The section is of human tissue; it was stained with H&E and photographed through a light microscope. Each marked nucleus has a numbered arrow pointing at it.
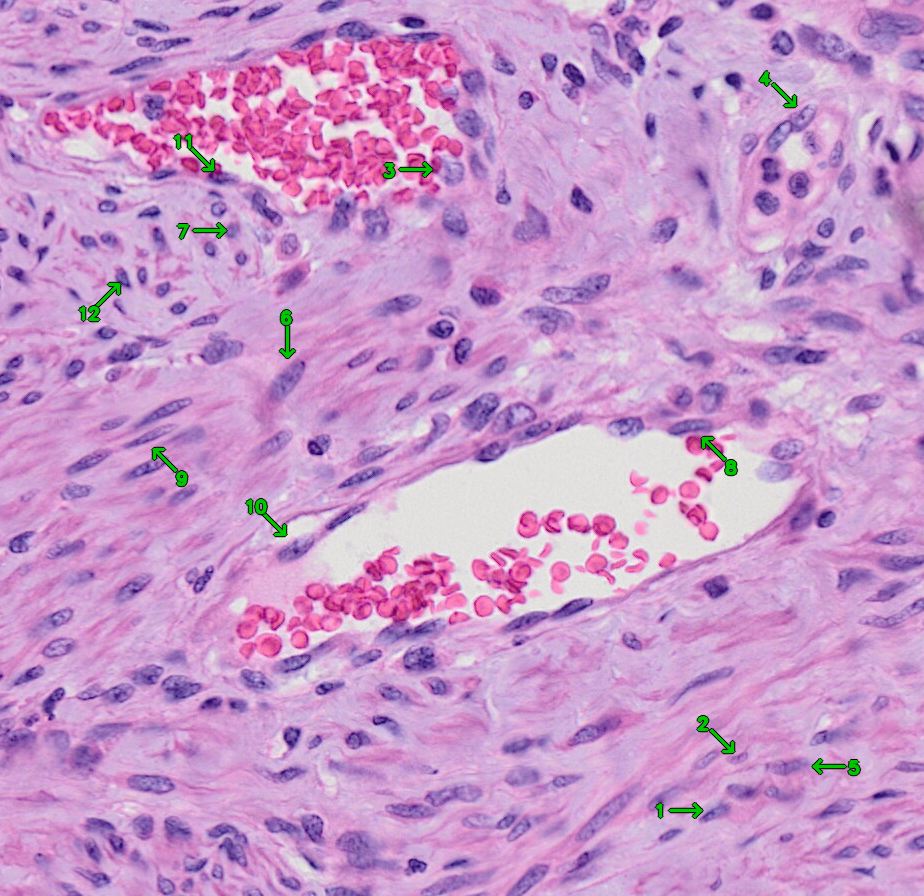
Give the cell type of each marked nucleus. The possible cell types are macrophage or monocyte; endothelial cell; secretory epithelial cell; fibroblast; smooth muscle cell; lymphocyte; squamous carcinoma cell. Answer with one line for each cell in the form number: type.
1: smooth muscle cell
2: smooth muscle cell
3: endothelial cell
4: endothelial cell
5: smooth muscle cell
6: smooth muscle cell
7: smooth muscle cell
8: endothelial cell
9: smooth muscle cell
10: endothelial cell
11: endothelial cell
12: smooth muscle cell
